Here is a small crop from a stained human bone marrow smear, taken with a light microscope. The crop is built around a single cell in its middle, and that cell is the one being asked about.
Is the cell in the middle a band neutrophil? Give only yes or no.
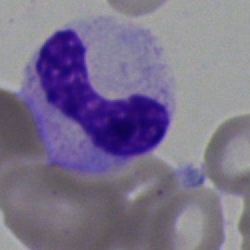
yes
